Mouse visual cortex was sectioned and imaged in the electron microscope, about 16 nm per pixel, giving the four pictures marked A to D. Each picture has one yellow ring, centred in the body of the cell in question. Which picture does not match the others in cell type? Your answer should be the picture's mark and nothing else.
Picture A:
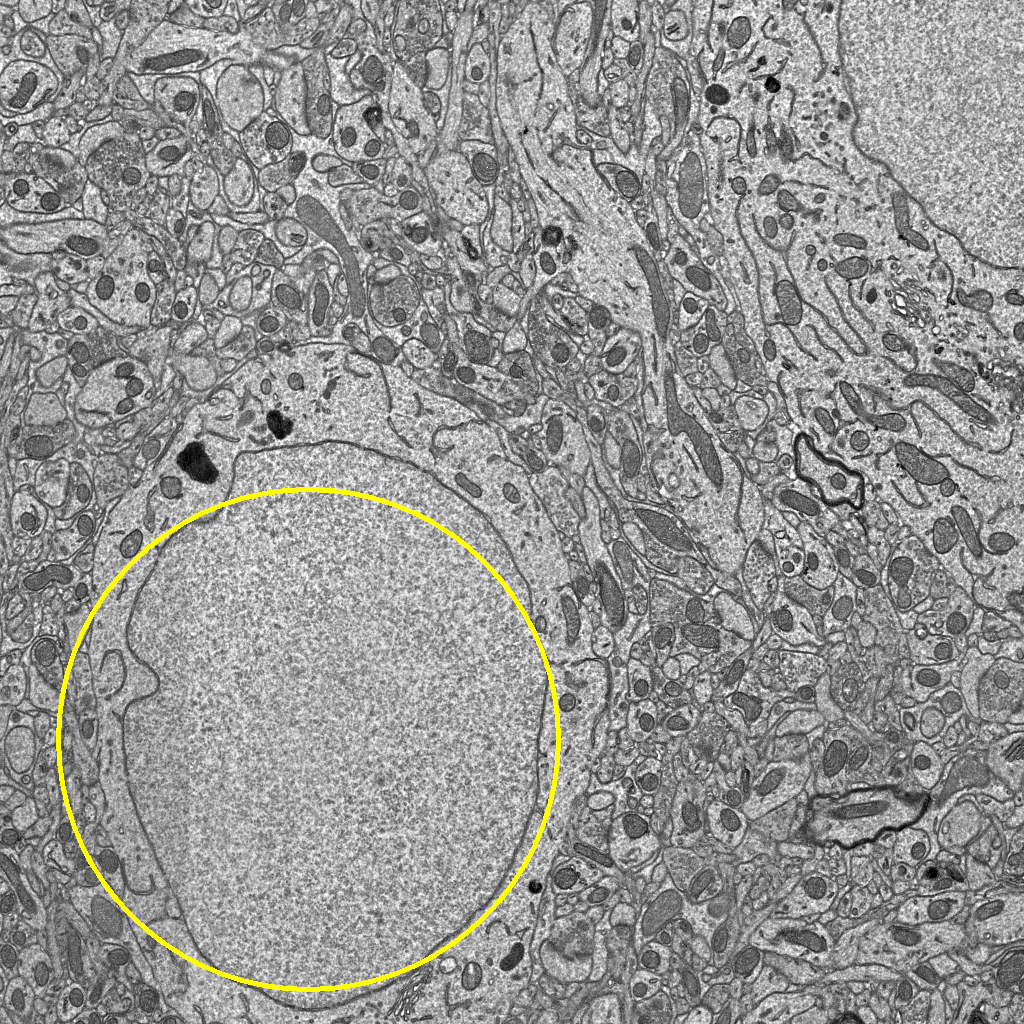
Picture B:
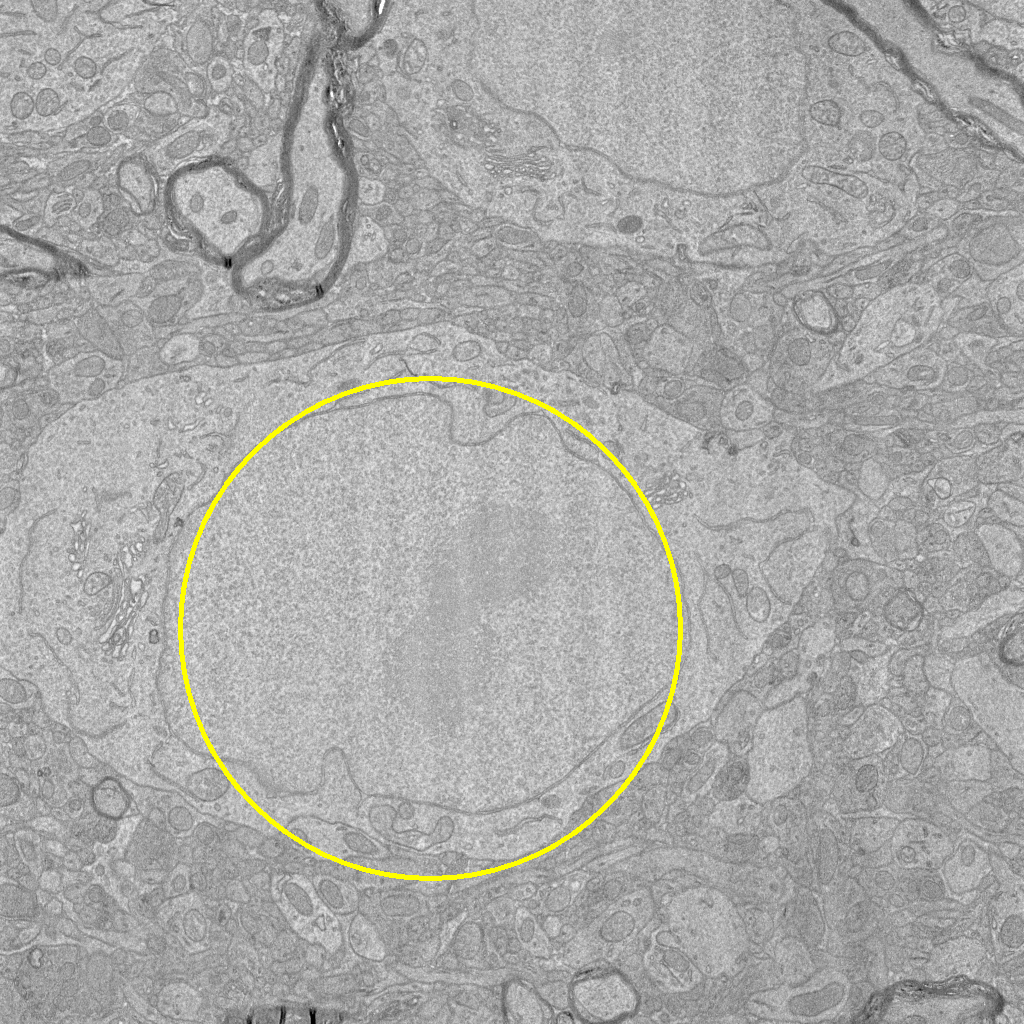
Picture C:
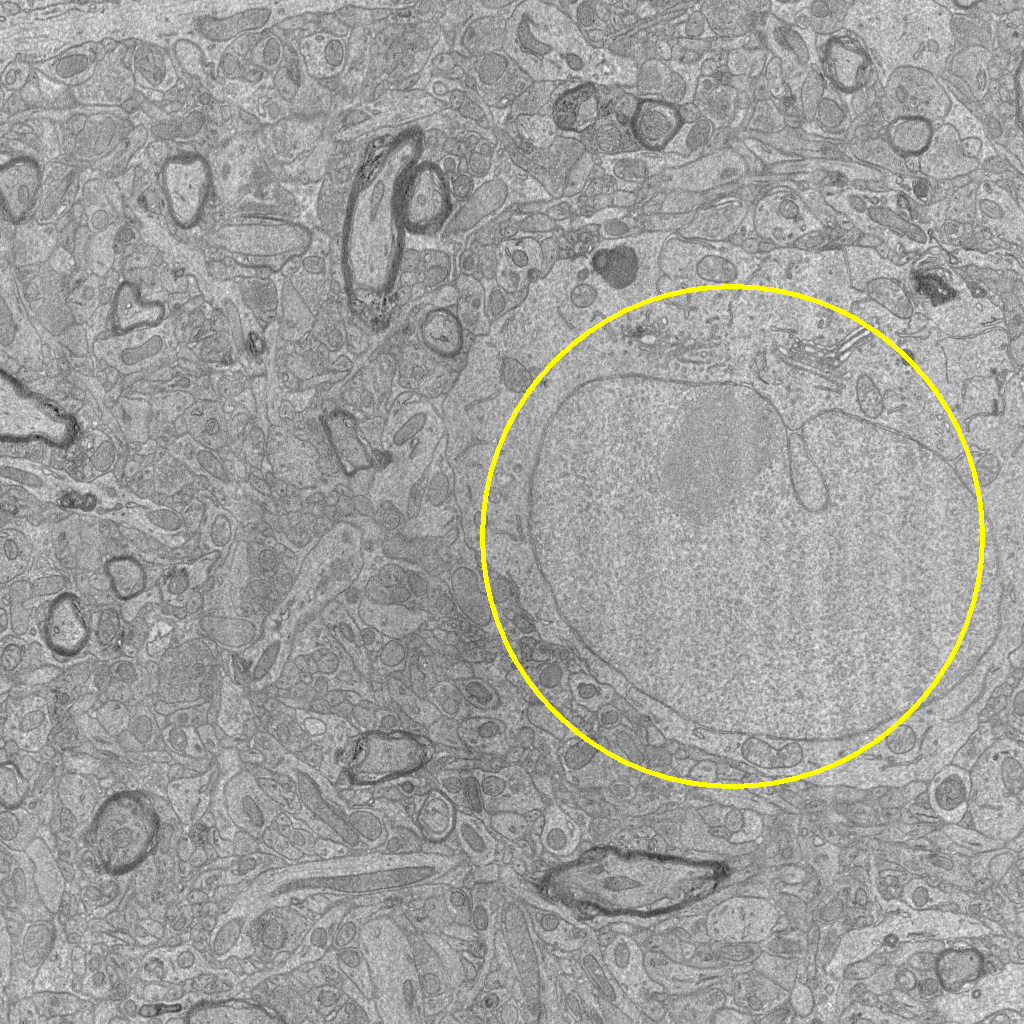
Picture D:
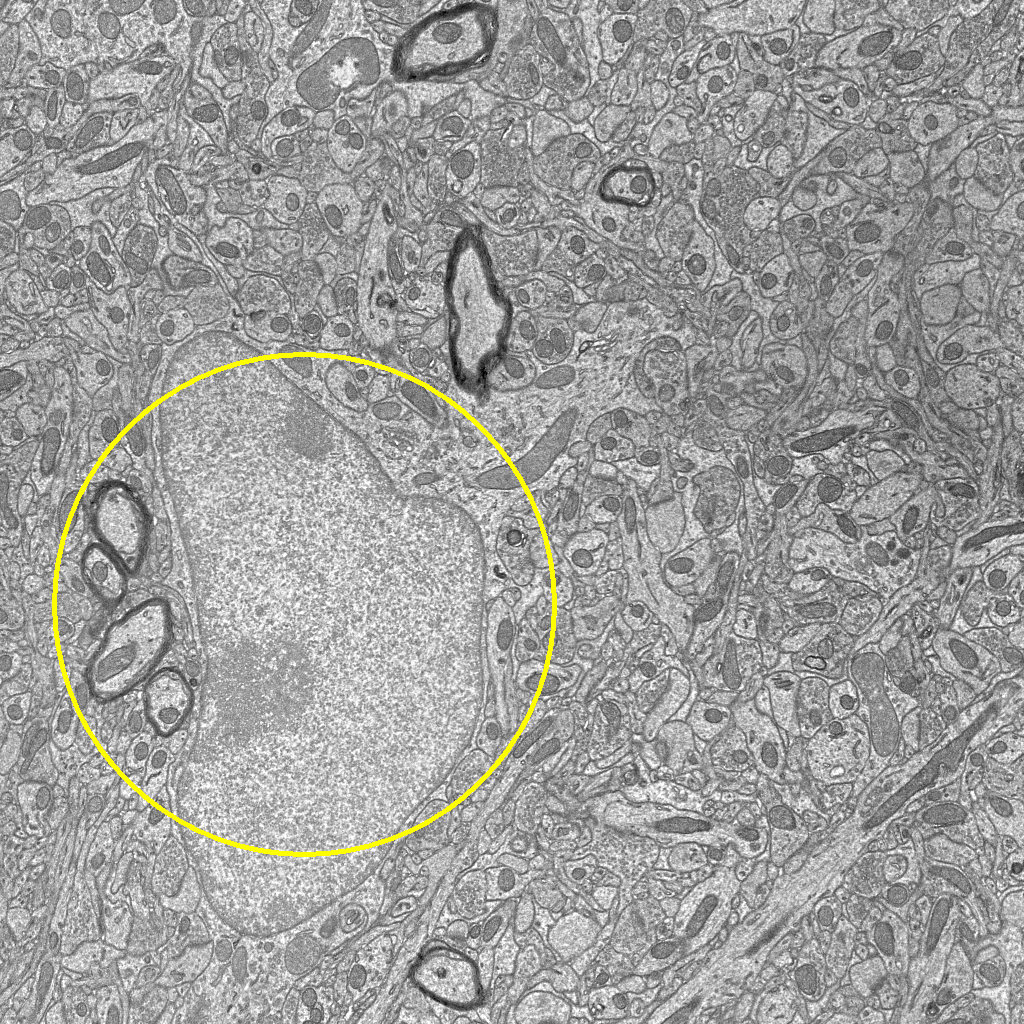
D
